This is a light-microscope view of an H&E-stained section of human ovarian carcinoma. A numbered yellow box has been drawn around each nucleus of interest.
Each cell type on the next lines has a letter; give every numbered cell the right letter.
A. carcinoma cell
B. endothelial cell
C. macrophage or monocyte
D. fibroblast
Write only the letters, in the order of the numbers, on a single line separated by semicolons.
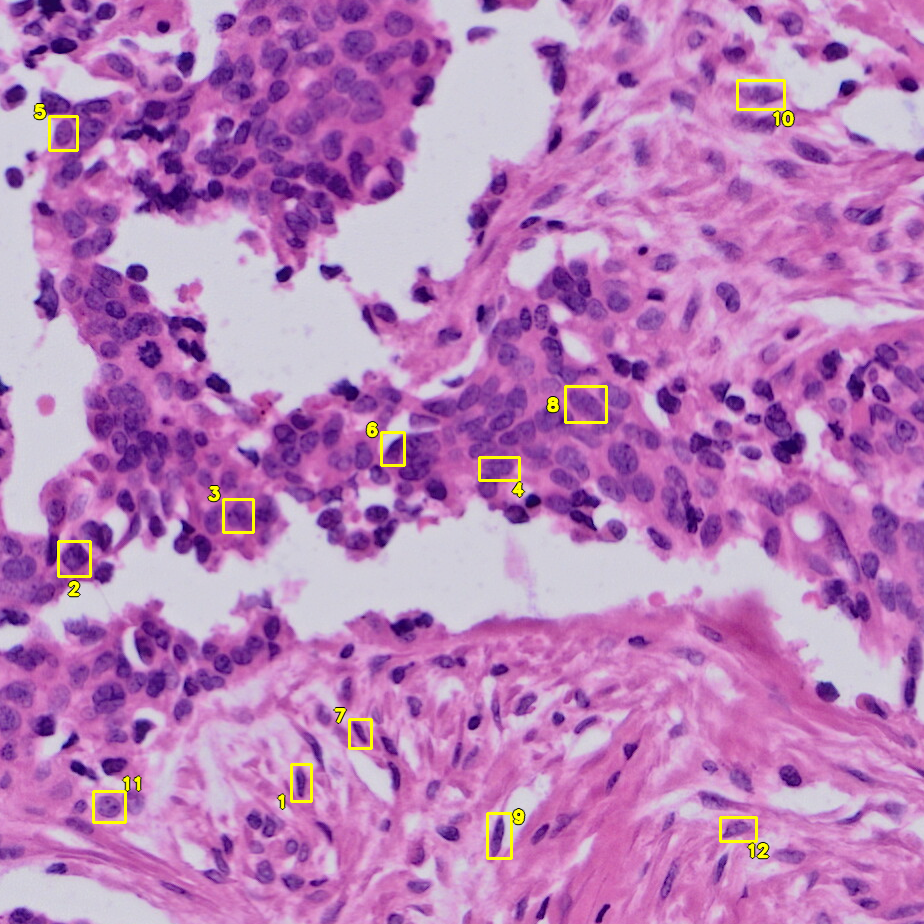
D; A; A; A; A; A; D; A; D; D; C; D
